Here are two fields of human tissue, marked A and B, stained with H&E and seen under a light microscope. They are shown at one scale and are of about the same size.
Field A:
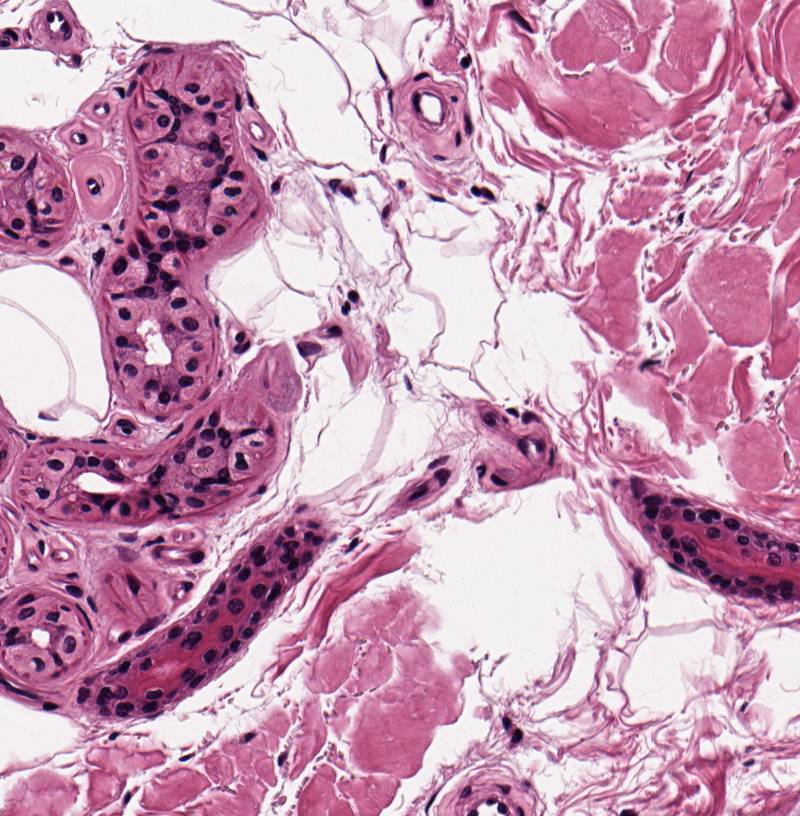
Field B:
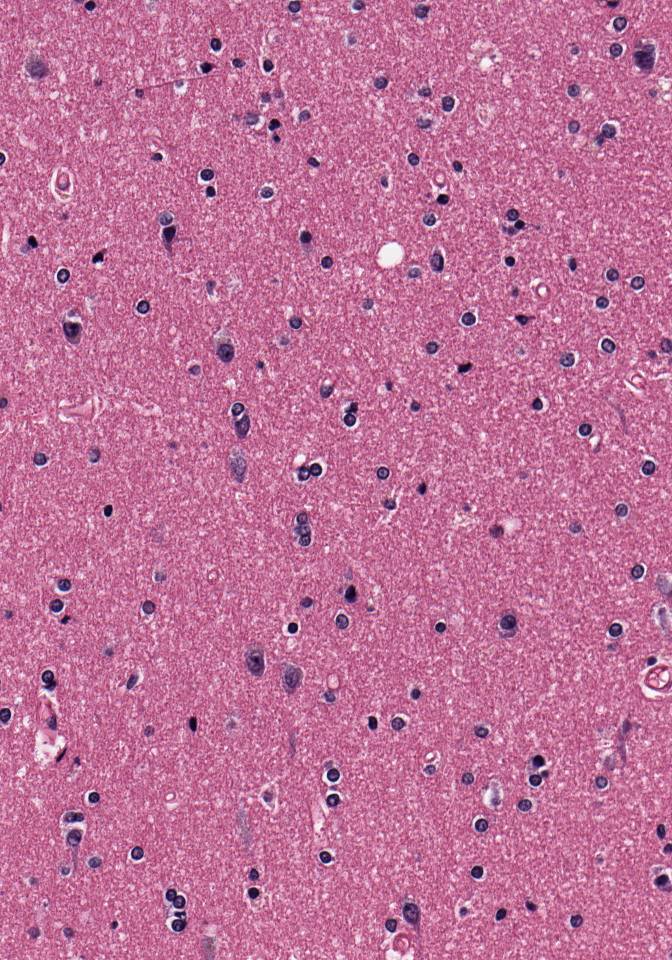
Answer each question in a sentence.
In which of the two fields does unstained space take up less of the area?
Unstained space takes up less of field B than of field A.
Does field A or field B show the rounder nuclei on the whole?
The nuclei are rounder in field B.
